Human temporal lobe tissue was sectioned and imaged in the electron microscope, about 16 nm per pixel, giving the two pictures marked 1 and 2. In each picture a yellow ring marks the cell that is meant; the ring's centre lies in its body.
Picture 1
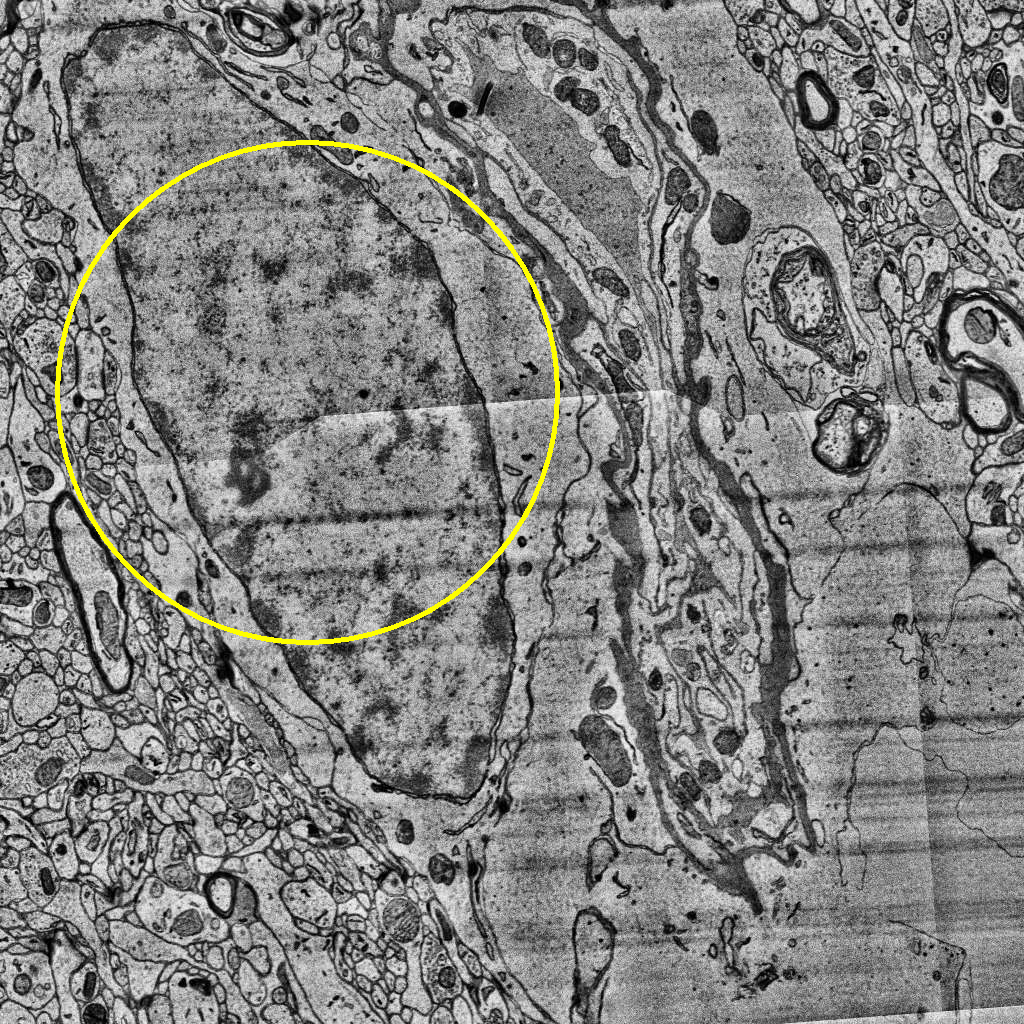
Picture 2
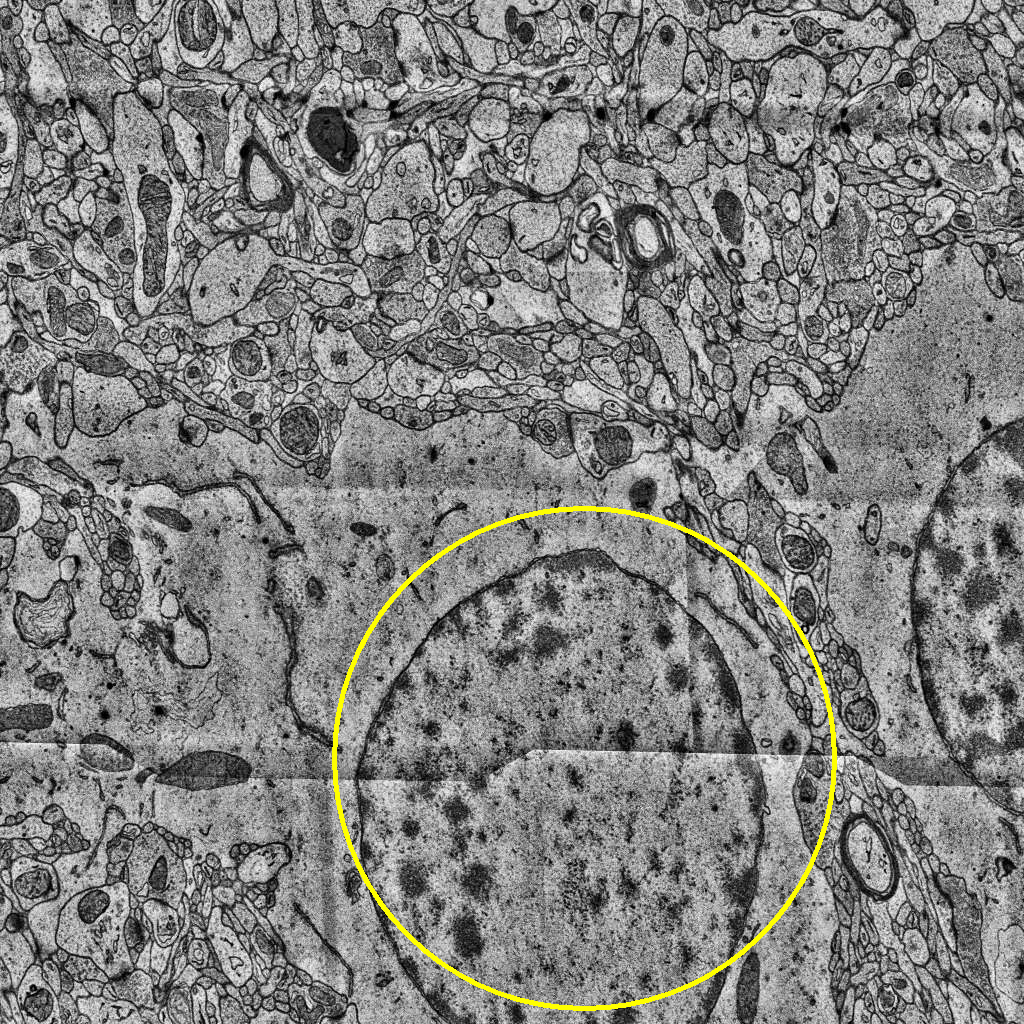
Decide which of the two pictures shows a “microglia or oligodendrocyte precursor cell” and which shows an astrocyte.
Picture 1 shows a “microglia or oligodendrocyte precursor cell” and picture 2 shows an astrocyte.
